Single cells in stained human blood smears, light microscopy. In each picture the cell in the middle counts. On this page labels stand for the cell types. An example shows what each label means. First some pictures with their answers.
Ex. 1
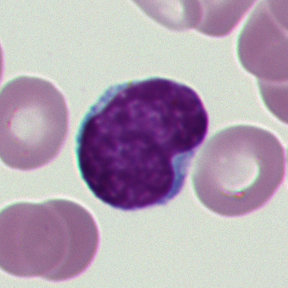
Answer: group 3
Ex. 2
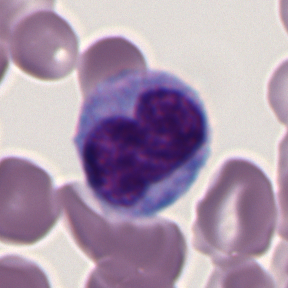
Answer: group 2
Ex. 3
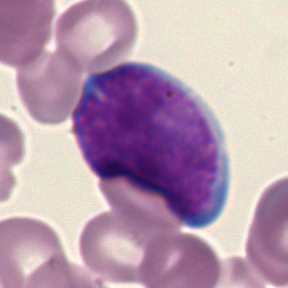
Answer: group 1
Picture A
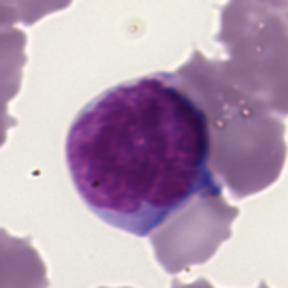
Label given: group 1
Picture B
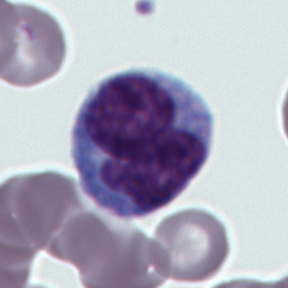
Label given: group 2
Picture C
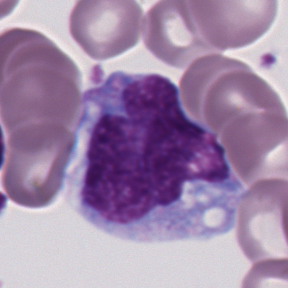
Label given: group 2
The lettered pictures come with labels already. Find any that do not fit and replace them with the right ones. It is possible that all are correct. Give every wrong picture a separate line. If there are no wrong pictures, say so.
Nothing to fix; every label fits.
